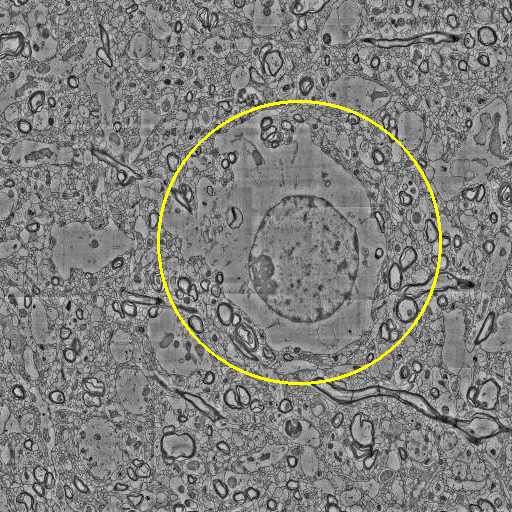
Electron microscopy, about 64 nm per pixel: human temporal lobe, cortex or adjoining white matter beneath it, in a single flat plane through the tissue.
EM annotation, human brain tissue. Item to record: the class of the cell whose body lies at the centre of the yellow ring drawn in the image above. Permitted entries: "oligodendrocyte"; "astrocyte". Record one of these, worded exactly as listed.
astrocyte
